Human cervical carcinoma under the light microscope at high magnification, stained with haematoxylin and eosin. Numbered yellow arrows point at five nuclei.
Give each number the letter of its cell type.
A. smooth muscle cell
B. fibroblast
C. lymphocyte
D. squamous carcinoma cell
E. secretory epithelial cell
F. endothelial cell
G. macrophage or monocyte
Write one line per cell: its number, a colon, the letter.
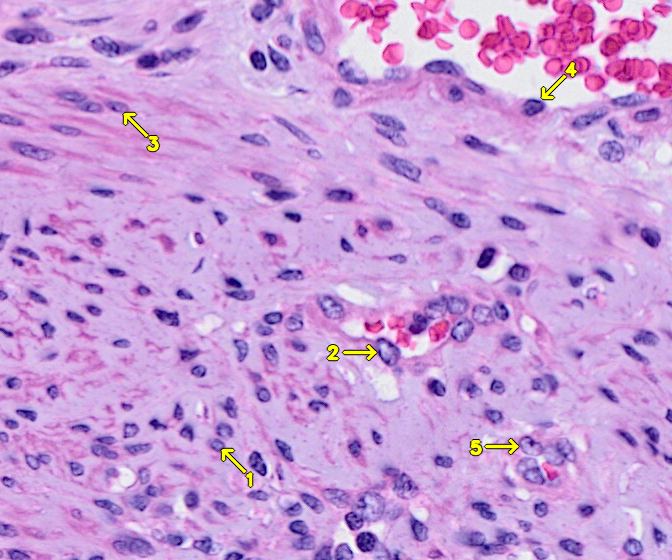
1: A
2: F
3: A
4: F
5: F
